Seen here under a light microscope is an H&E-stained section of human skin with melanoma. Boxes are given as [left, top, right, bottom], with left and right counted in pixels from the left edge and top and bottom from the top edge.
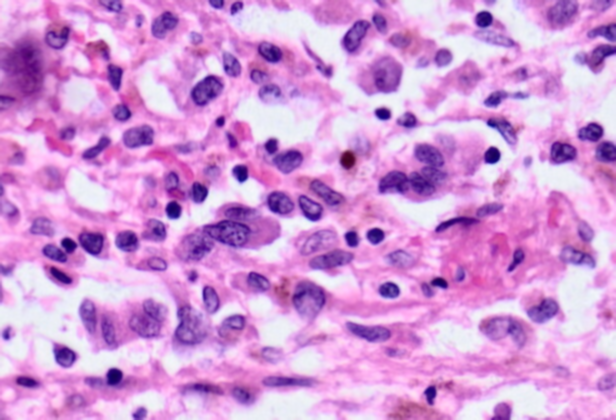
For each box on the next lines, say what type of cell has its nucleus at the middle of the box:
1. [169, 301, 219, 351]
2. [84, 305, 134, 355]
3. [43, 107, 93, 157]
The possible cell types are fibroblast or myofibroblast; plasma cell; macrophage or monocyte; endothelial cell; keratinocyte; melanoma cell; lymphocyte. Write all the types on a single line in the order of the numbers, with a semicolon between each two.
melanoma cell; melanoma cell; macrophage or monocyte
